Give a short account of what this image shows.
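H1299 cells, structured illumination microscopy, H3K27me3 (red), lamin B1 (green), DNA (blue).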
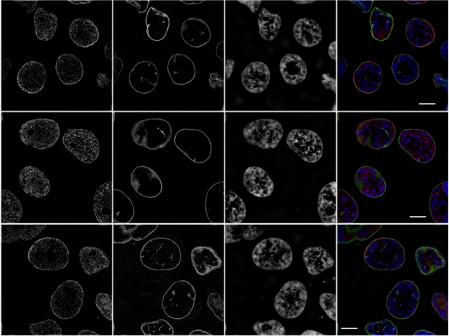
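Several rounded to oval nuclei of cultured cells lie close together, each outlined by a thin, sharp continuous rim in the green channel, while the red channel shows a fine granular, speckled pattern spread through the nuclear interior and, in some nuclei, gathered toward the edge. In the merged images the green rim encloses the red and blue signals, marking the nuclear periphery.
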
